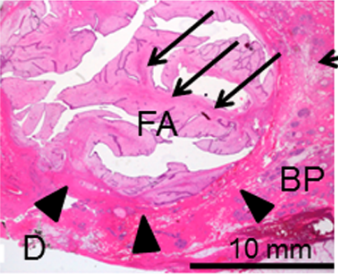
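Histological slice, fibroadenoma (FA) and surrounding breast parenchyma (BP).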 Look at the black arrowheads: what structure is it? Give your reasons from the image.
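Tumor boundaries. The arrowheads sit on the edge of a rounded, well-demarcated nodule. Outside the arrowheads lies a band of differently textured pink tissue.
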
